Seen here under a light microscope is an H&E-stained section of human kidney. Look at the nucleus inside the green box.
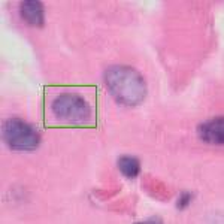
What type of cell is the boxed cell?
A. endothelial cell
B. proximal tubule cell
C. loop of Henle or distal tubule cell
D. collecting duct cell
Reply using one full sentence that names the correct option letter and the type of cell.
Hey, it is option C: the boxed cell is a loop of Henle or distal tubule cell.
